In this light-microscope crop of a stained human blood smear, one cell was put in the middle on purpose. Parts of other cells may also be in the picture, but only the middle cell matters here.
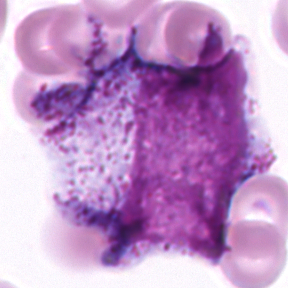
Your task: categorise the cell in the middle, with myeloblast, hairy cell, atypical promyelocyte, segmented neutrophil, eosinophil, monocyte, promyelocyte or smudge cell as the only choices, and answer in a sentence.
The central cell in this smear crop is a promyelocyte.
